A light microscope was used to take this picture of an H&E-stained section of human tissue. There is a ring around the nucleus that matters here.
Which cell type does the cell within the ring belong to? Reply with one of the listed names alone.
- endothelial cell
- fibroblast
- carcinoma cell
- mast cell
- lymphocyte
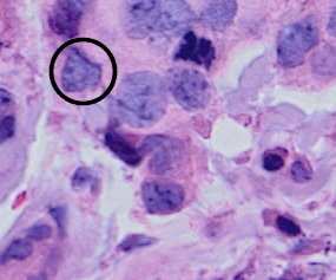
carcinoma cell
